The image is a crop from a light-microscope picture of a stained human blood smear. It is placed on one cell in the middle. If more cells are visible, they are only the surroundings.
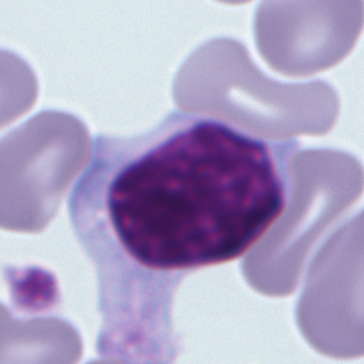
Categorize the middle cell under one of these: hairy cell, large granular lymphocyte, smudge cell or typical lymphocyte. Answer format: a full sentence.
The crop's centre is taken up by a typical lymphocyte.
